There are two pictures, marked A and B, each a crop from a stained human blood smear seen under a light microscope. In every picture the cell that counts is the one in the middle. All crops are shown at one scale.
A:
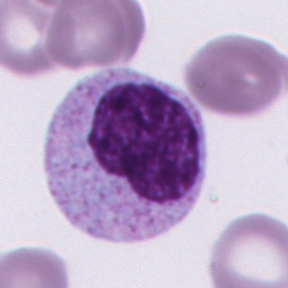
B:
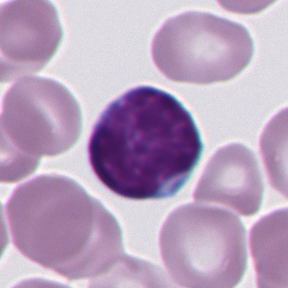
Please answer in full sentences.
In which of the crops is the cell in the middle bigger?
The cell in crop A is larger, with about 2 times the area of the one in crop B.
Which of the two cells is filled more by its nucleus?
The nucleus fills more of the cell in crop B than in crop A.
